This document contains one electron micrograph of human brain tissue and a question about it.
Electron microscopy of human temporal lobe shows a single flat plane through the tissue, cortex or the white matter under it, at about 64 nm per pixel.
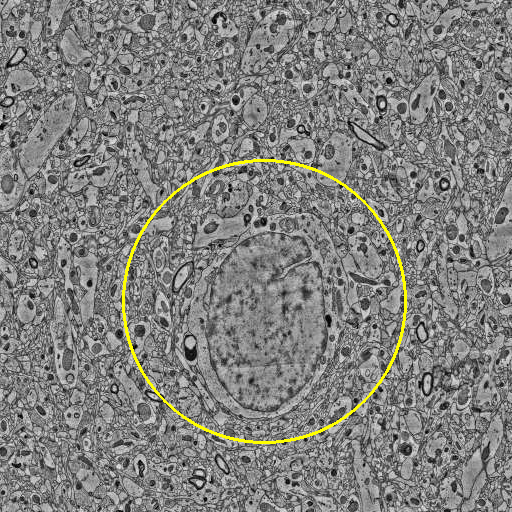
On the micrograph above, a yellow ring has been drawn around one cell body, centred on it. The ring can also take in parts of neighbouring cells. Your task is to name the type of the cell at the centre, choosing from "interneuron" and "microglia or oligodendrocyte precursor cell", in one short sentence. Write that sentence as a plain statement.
Here the ring is centred on an interneuron.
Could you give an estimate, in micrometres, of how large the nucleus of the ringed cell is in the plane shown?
Approximately 11 micrometres long and 8 micrometres wide, in this plane.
